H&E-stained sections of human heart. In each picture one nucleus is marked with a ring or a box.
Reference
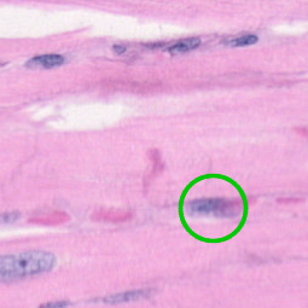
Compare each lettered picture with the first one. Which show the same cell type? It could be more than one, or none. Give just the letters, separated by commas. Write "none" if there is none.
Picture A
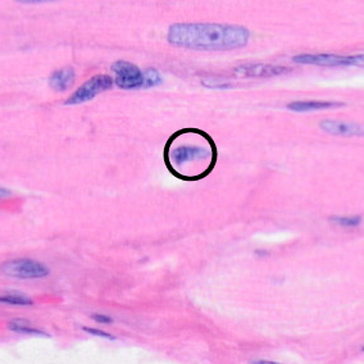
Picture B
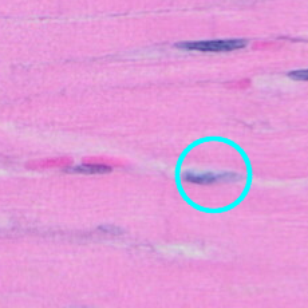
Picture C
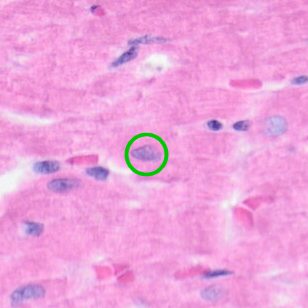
A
